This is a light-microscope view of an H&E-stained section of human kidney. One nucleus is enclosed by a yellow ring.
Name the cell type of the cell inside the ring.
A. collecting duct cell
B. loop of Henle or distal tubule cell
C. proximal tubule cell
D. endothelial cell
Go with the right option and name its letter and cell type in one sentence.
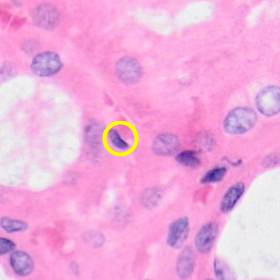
Option D gives the correct identity of the cell inside the ring, which is an endothelial cell.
